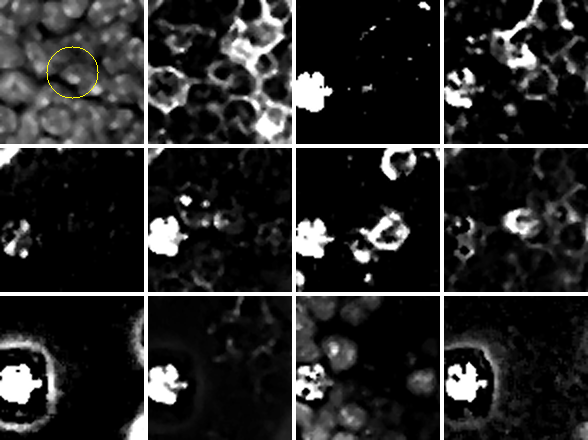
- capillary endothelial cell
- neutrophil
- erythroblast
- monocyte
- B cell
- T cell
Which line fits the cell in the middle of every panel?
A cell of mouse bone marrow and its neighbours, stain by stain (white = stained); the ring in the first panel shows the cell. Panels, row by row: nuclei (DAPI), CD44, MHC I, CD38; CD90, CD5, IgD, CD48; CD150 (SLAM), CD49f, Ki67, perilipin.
monocyte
